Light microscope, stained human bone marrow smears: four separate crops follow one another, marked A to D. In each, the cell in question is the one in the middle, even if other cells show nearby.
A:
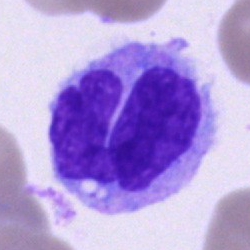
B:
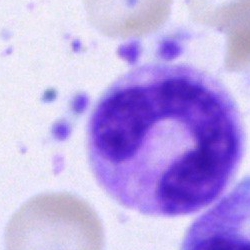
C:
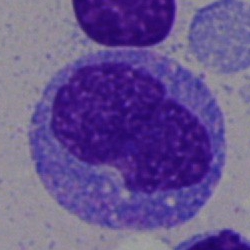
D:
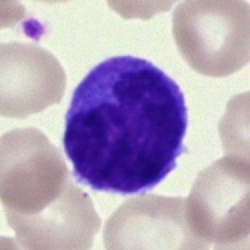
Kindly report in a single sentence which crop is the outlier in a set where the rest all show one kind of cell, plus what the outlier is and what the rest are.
The different one is crop B, which is a band neutrophil; the rest all show monocytes.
